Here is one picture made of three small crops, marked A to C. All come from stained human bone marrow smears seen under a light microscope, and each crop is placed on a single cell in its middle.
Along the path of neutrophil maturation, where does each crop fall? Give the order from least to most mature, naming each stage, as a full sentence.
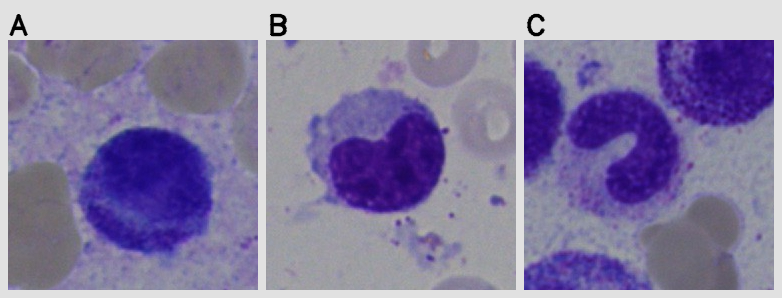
Maturity order, least to most: crop A (a myelocyte), crop B (a metamyelocyte) and crop C (a band neutrophil).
